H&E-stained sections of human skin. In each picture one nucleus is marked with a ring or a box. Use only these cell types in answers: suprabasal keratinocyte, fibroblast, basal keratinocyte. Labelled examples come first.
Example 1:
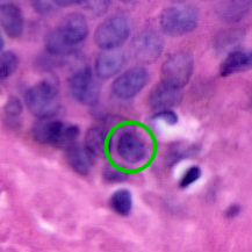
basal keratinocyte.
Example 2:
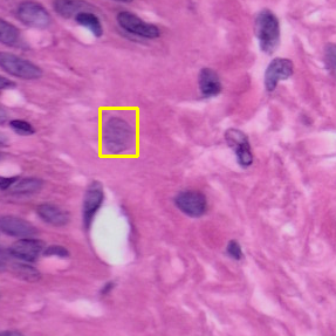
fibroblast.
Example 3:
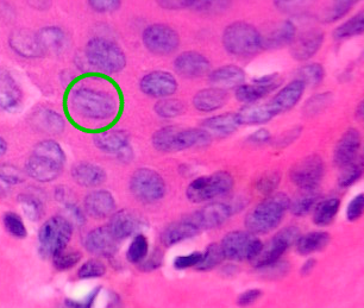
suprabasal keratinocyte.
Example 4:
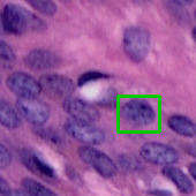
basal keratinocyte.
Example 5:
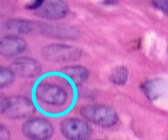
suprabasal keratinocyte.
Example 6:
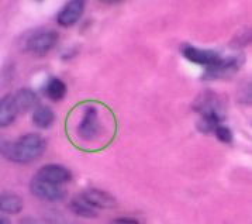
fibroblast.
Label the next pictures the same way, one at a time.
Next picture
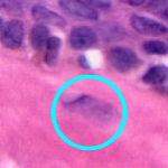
fibroblast.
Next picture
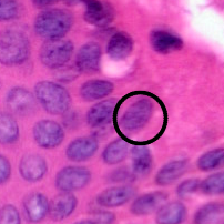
basal keratinocyte.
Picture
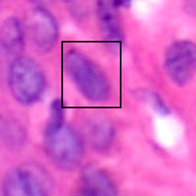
basal keratinocyte.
